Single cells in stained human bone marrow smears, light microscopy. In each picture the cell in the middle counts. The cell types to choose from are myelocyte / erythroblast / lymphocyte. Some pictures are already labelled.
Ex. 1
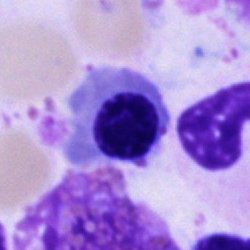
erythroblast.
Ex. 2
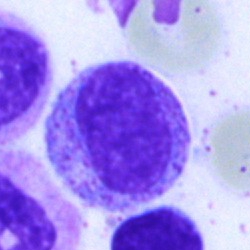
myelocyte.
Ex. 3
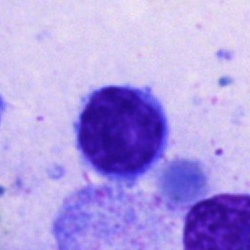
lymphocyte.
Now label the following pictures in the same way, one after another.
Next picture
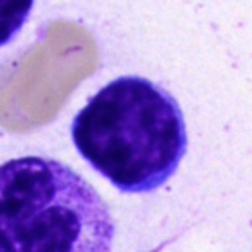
lymphocyte.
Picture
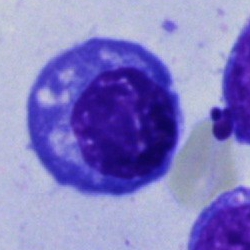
erythroblast.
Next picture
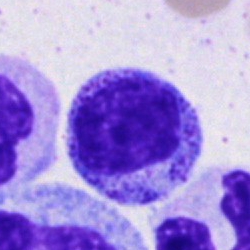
myelocyte.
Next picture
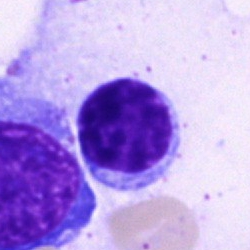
lymphocyte.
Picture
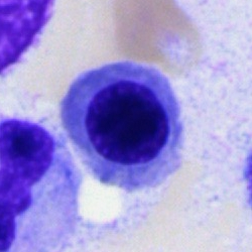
erythroblast.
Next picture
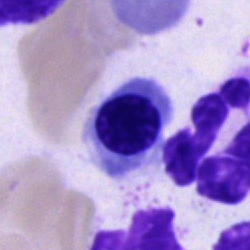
erythroblast.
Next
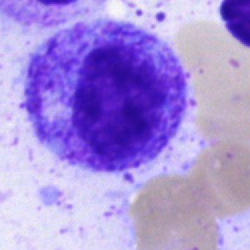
myelocyte.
